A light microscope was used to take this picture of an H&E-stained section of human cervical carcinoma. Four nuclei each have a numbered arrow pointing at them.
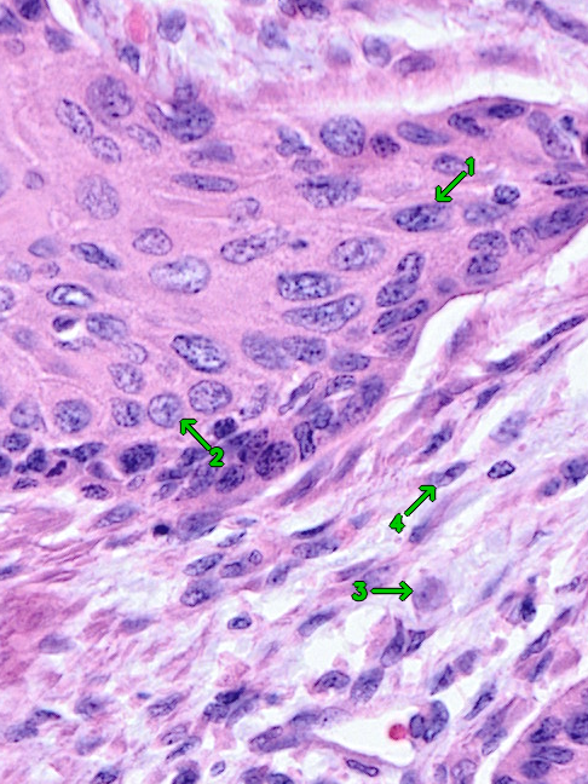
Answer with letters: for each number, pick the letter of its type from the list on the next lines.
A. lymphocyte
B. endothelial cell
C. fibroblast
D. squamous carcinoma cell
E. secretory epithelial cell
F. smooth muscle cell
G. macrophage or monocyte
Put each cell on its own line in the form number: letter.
1: D
2: D
3: C
4: C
